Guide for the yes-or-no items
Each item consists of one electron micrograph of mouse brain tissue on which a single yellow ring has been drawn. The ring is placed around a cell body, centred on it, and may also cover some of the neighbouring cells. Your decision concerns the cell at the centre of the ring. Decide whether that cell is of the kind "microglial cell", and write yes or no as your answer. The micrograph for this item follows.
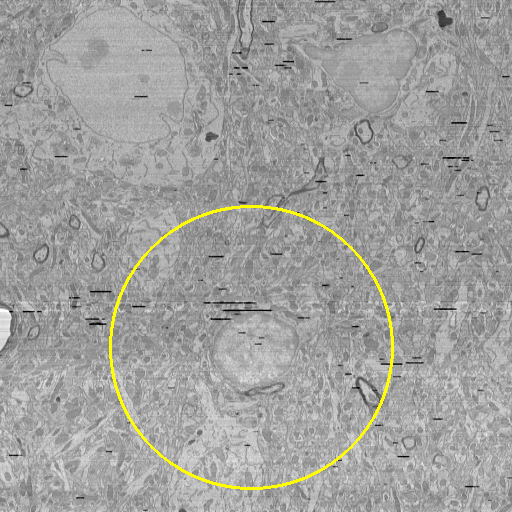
no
